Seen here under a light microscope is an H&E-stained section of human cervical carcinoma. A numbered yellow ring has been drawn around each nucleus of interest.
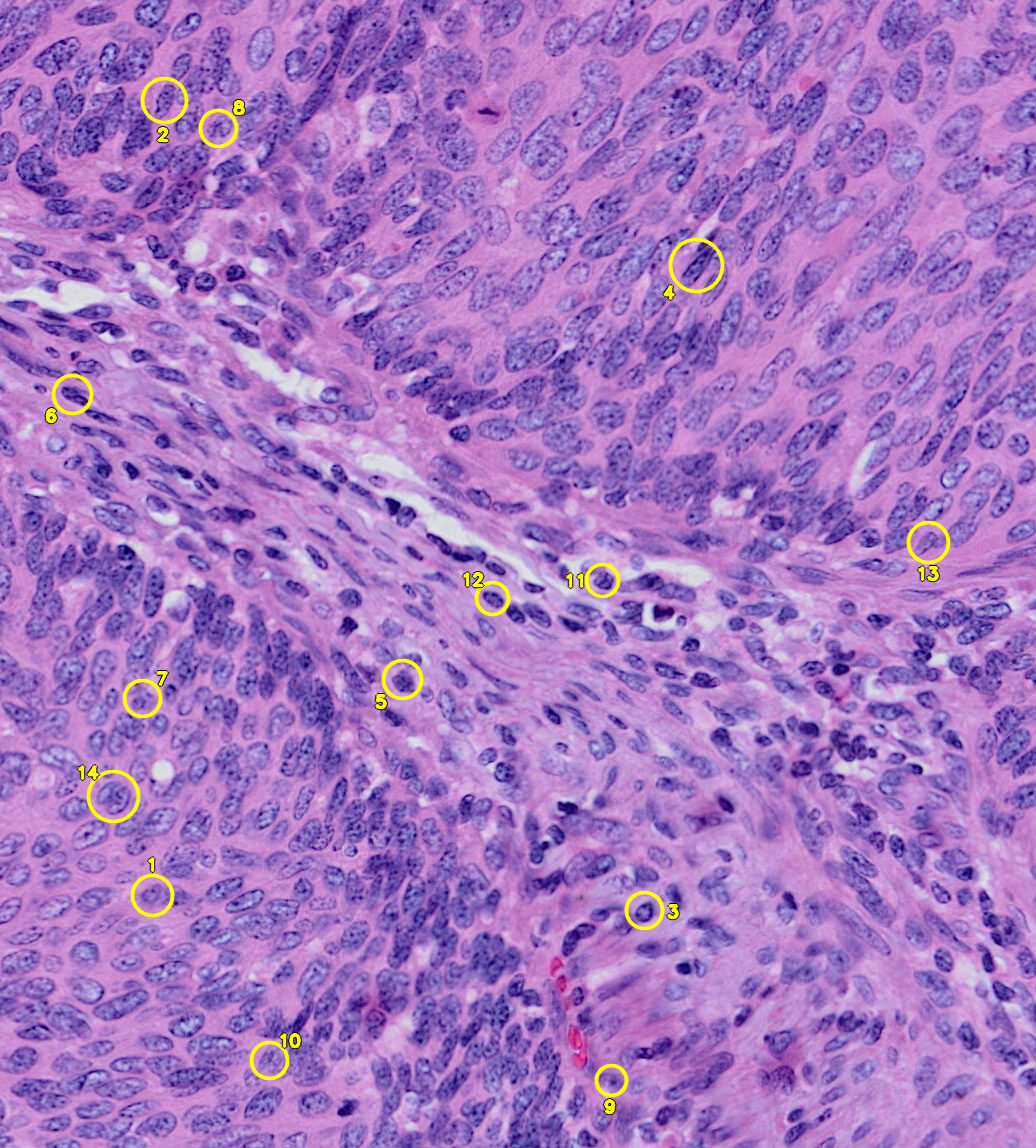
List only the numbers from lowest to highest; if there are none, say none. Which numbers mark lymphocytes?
3, 5, 6, 11, 12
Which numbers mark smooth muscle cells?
none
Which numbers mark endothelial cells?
9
